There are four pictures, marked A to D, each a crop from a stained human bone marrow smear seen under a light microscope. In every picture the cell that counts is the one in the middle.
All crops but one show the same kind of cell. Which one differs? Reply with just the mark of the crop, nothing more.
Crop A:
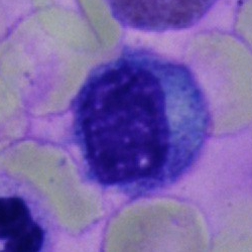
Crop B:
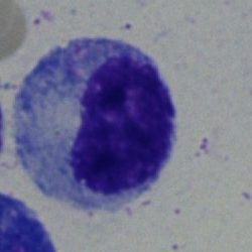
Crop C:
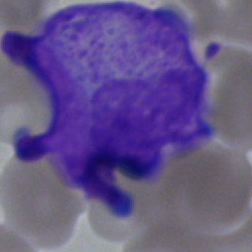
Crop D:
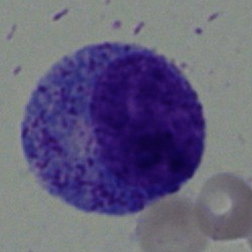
C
